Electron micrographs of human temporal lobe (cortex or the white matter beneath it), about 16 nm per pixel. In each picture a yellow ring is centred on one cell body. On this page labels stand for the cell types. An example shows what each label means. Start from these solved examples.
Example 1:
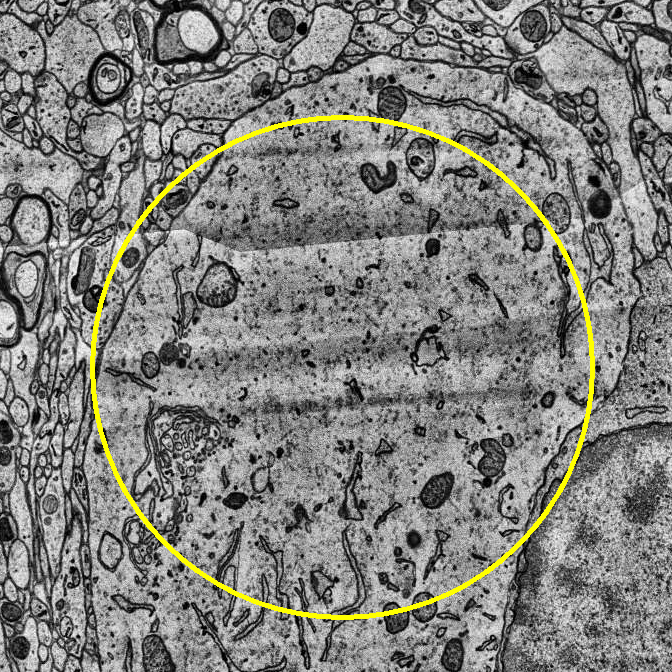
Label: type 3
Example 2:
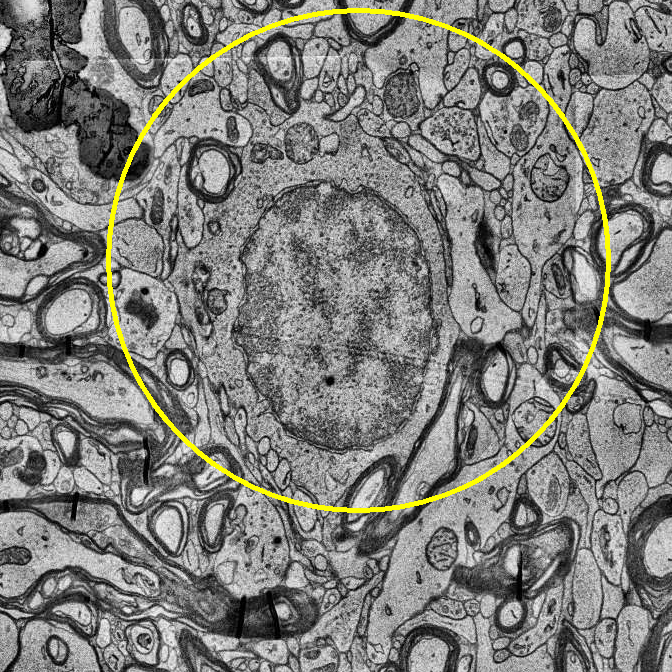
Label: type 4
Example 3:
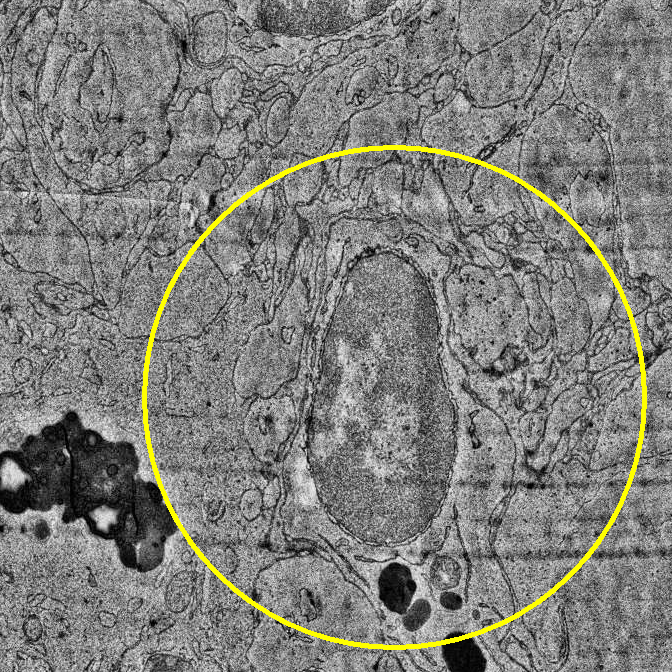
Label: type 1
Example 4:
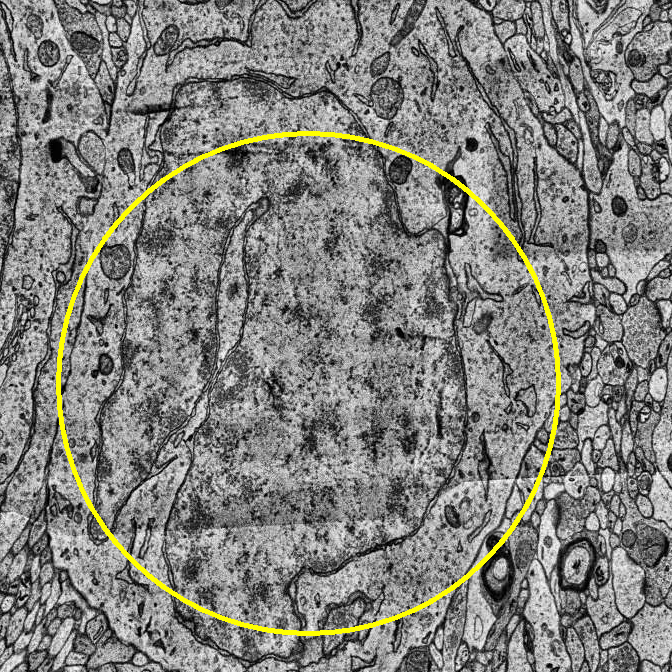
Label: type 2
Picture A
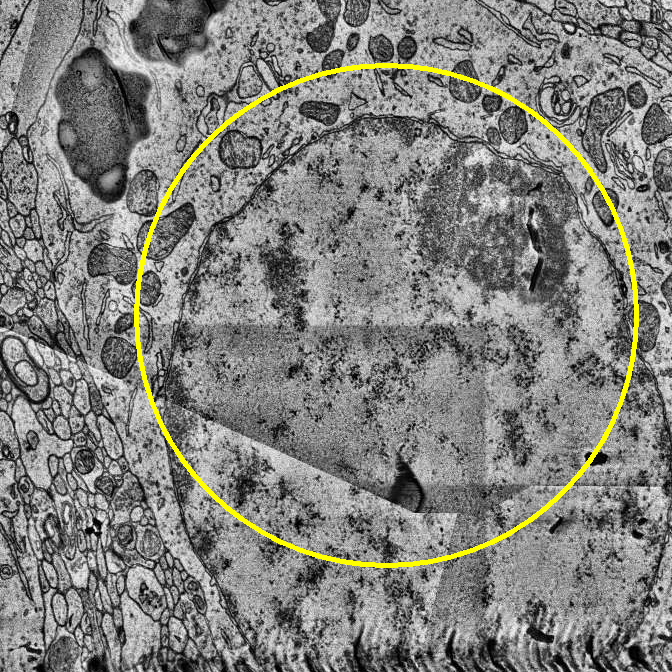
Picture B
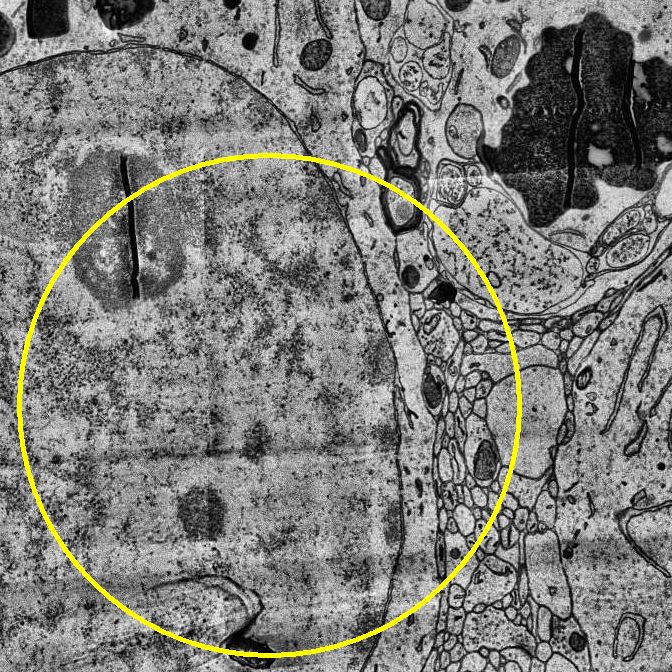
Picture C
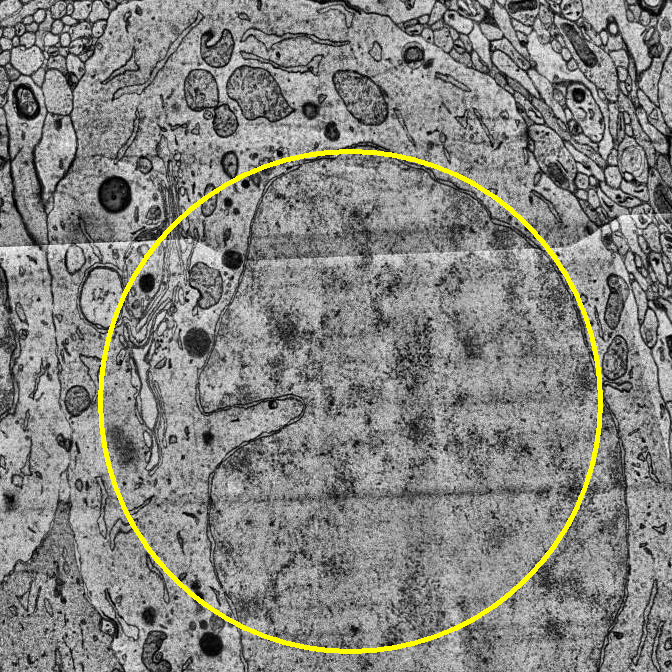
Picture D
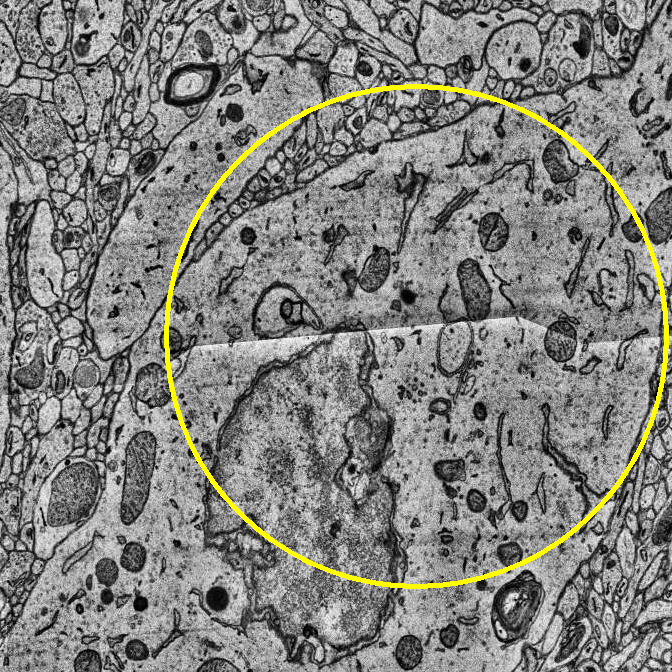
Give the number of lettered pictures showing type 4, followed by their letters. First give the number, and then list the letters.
0, none of them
